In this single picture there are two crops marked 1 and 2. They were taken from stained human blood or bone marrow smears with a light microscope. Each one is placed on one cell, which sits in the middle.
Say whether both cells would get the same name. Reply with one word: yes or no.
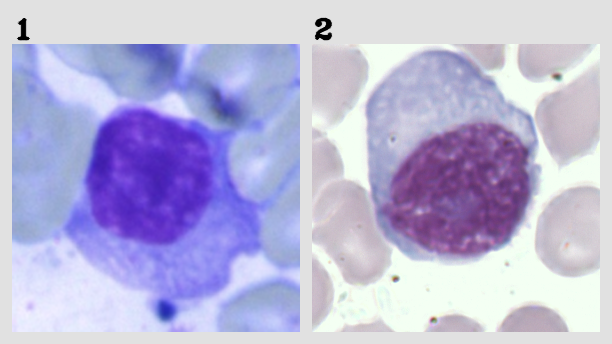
yes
